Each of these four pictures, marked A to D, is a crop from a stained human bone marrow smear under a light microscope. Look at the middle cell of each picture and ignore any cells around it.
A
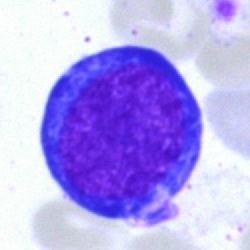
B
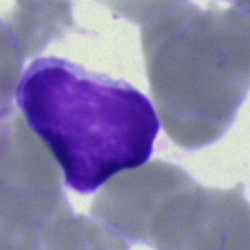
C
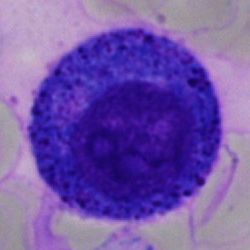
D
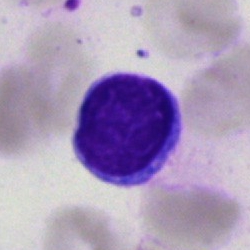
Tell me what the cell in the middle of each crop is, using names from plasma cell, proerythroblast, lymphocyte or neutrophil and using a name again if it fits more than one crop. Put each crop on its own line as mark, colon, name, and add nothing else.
A: proerythroblast
B: lymphocyte
C: proerythroblast
D: lymphocyte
